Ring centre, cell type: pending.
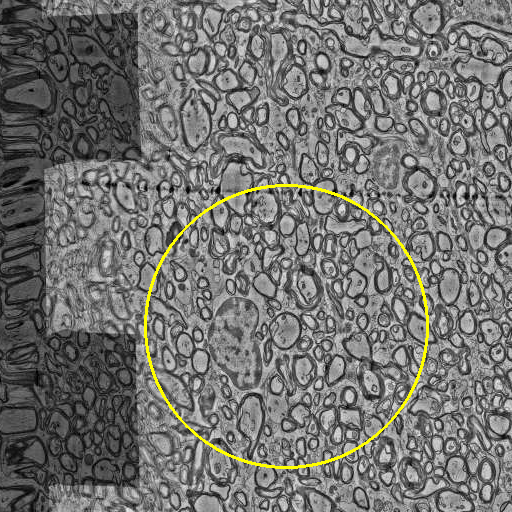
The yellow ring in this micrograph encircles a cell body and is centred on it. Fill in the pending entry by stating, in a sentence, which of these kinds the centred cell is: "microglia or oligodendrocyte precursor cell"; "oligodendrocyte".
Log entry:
The centred cell is recorded as a microglial cell or oligodendrocyte precursor cell.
